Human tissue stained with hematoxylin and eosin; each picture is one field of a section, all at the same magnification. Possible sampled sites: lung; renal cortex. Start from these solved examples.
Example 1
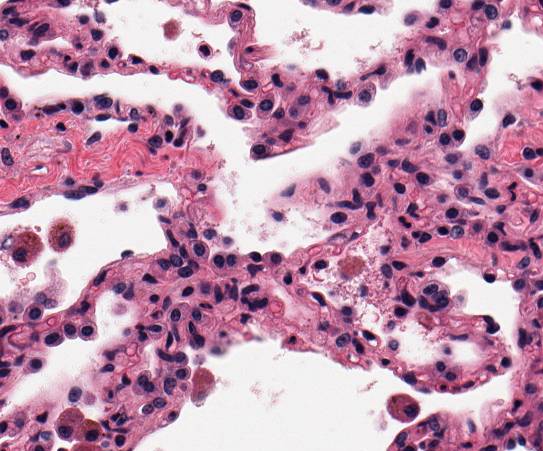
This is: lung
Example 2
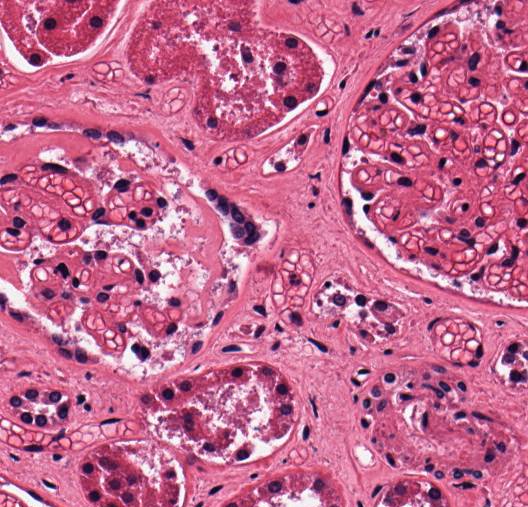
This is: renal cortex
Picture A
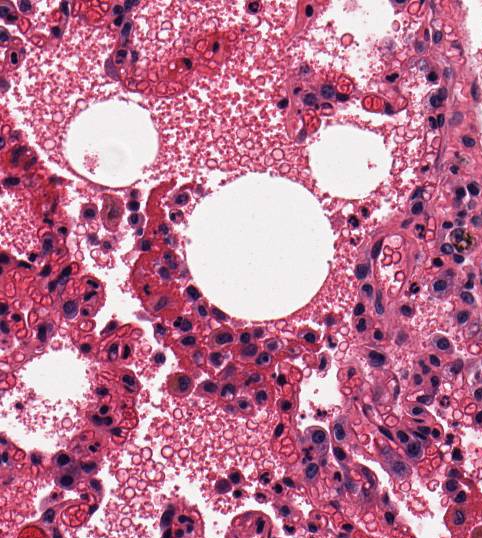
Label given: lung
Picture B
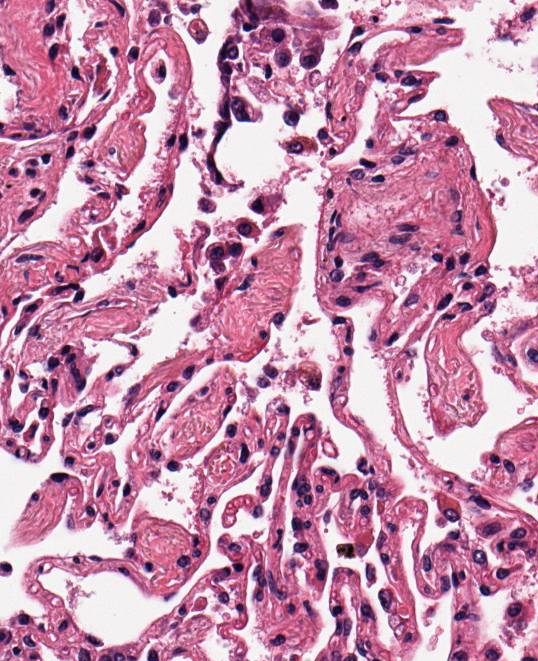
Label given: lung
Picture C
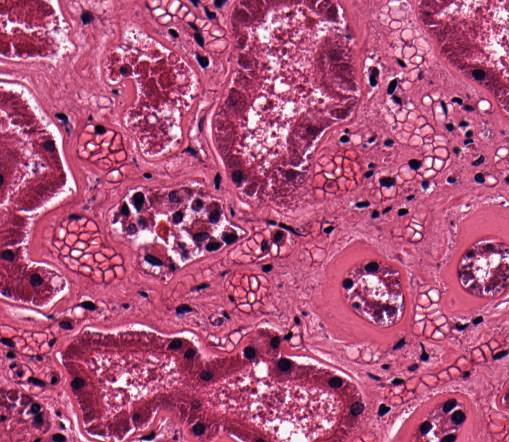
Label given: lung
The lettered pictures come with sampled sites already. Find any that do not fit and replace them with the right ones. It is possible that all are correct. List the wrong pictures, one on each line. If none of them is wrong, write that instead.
C is labelled lung; correct label: renal cortex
